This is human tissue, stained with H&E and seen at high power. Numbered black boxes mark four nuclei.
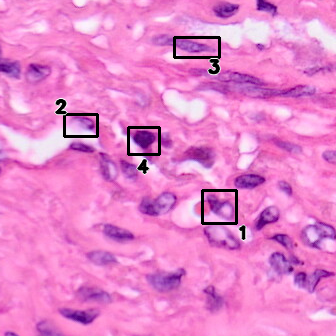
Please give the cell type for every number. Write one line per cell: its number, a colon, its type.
1: endothelial cell
2: endothelial cell
3: smooth muscle cell or pericyte
4: plasma cell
